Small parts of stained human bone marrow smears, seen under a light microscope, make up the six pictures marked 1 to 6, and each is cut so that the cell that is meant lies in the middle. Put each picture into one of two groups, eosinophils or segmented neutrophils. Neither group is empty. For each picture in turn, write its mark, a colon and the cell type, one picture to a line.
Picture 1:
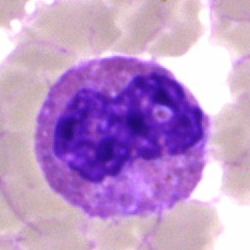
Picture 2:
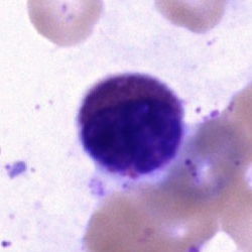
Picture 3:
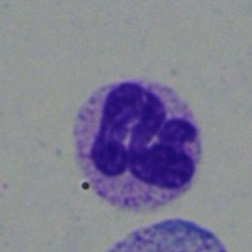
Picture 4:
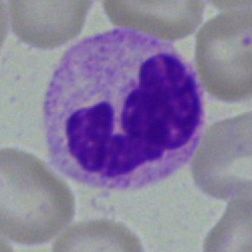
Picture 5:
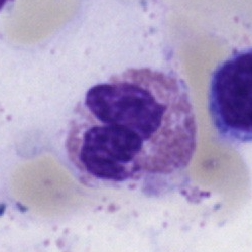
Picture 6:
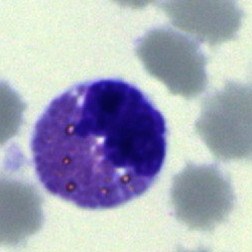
1: eosinophil
2: eosinophil
3: segmented neutrophil
4: segmented neutrophil
5: eosinophil
6: eosinophil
